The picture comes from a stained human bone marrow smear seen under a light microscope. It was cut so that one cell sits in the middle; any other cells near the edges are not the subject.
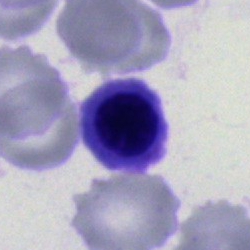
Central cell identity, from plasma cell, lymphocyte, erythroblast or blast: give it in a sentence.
Within this crop, an erythroblast occupies the central position.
